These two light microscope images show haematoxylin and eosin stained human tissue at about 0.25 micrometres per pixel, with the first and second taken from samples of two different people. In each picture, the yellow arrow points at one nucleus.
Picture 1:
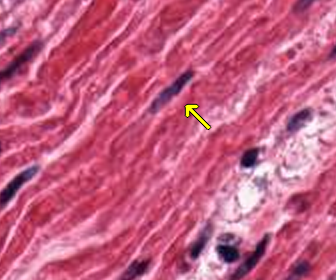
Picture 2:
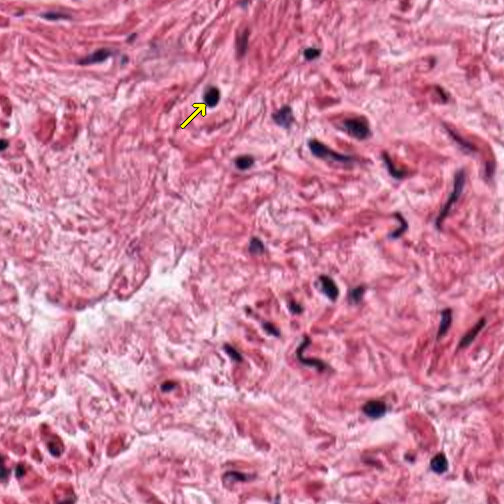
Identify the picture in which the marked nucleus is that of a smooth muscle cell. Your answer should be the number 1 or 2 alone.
1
